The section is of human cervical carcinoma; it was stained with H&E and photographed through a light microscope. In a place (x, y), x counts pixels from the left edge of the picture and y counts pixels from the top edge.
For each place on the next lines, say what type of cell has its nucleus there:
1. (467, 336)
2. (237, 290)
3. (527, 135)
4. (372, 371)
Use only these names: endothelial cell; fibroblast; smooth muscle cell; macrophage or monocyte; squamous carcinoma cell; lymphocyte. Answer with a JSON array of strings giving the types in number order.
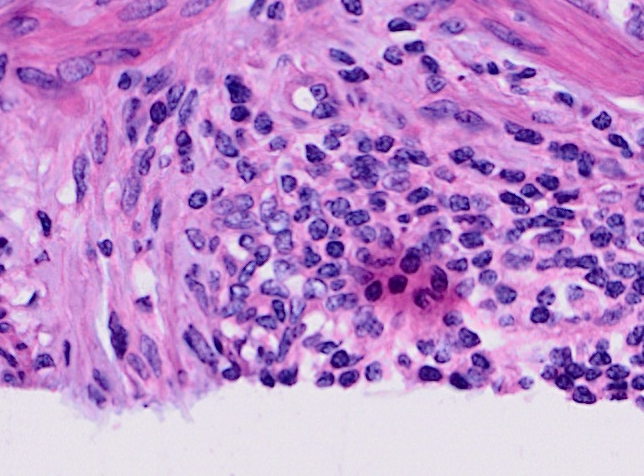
["lymphocyte", "endothelial cell", "lymphocyte", "lymphocyte"]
